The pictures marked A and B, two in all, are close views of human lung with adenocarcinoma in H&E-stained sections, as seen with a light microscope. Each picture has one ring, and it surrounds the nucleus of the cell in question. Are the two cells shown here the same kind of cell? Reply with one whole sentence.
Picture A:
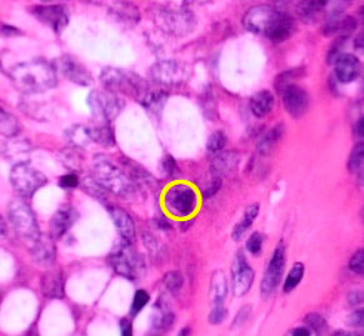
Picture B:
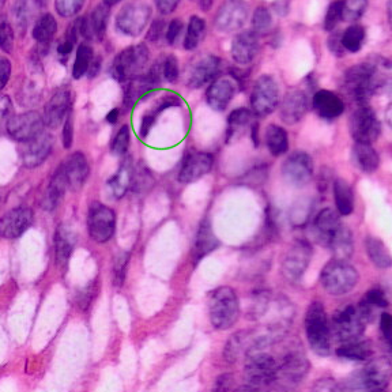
Yes, both are ciliated epithelial cells.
